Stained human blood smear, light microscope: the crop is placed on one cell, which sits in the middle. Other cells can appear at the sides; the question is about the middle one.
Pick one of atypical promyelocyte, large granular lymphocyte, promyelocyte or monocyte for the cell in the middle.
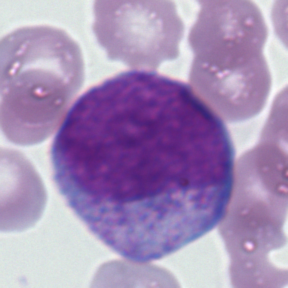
promyelocyte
